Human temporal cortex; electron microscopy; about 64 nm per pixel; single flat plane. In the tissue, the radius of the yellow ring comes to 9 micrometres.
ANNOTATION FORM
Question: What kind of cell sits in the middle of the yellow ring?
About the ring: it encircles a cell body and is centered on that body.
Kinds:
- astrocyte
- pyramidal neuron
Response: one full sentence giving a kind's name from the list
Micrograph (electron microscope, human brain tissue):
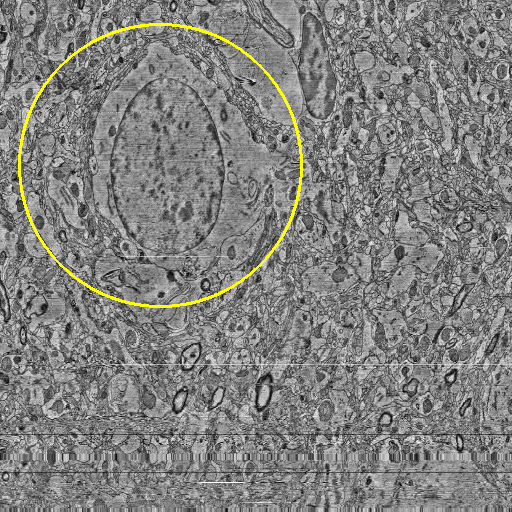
The kind of cell found at the center of the yellow ring in the micrograph is an astrocyte.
